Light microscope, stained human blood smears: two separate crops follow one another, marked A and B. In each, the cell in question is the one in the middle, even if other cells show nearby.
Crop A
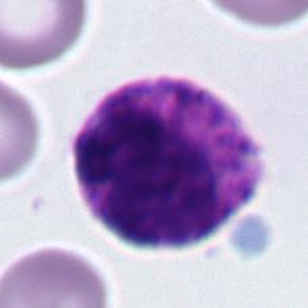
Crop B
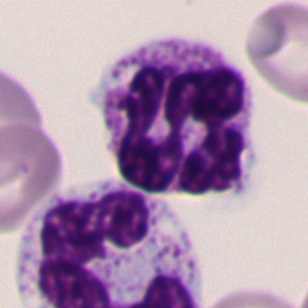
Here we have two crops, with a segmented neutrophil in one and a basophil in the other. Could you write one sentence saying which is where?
Crop A and crop B are a basophil and a segmented neutrophil, in that order.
